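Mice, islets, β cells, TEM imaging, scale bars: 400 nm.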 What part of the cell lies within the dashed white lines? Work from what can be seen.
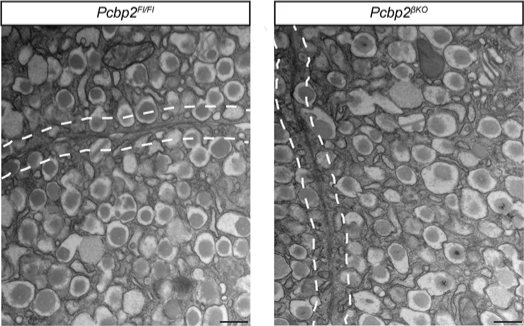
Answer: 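Docked insulin granules. Dashed lines bracket a band along the cell membrane. Membrane-bound granules with dense cores lie within this band, against the membrane.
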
